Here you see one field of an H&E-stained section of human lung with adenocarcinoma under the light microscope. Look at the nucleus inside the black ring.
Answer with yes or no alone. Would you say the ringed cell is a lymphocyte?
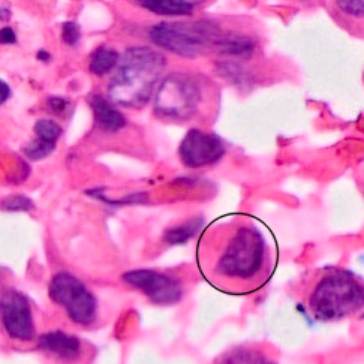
no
